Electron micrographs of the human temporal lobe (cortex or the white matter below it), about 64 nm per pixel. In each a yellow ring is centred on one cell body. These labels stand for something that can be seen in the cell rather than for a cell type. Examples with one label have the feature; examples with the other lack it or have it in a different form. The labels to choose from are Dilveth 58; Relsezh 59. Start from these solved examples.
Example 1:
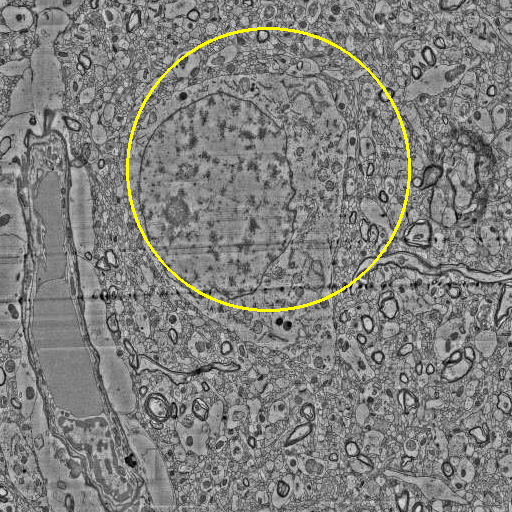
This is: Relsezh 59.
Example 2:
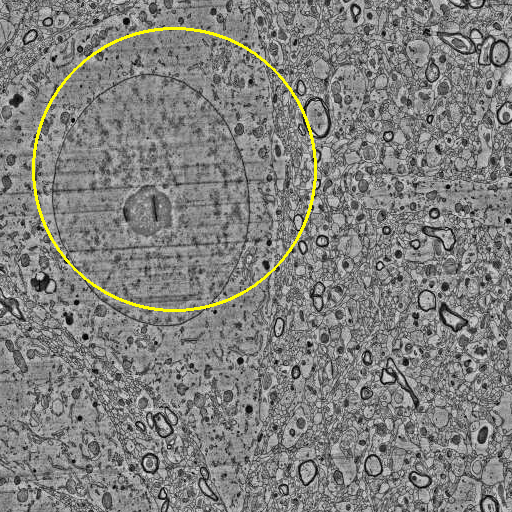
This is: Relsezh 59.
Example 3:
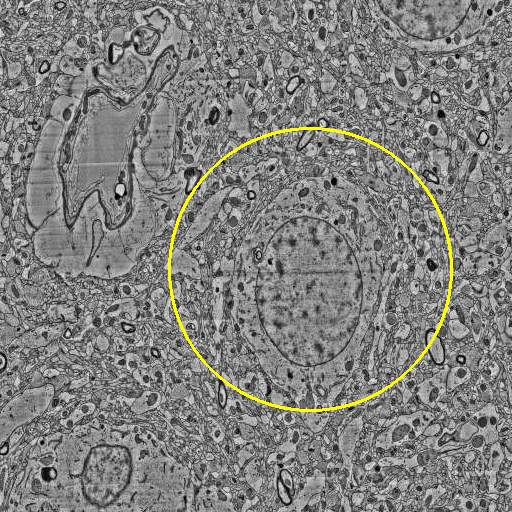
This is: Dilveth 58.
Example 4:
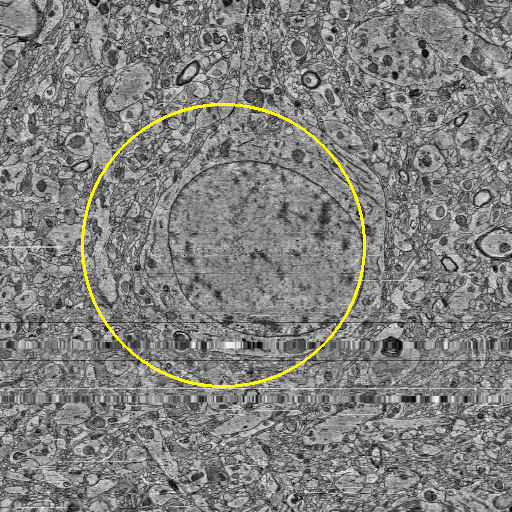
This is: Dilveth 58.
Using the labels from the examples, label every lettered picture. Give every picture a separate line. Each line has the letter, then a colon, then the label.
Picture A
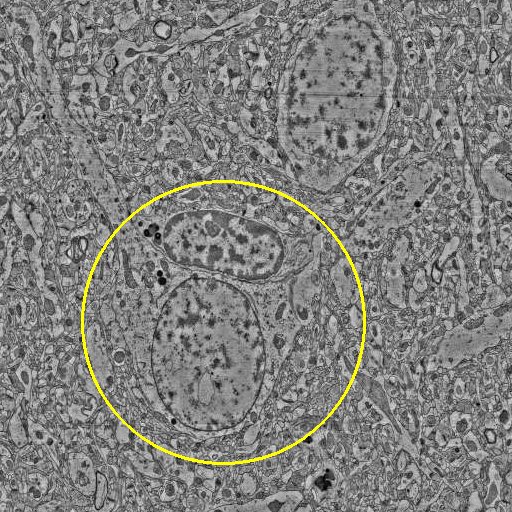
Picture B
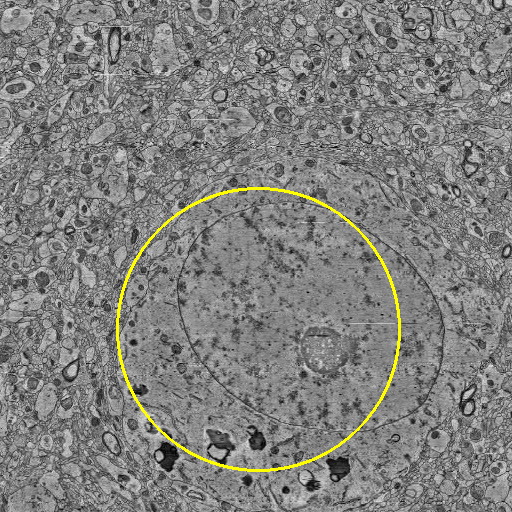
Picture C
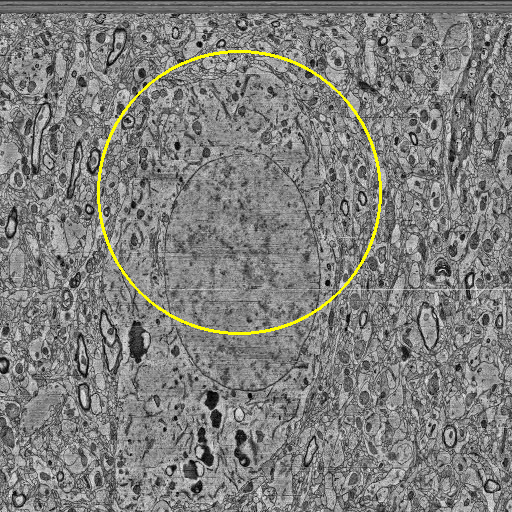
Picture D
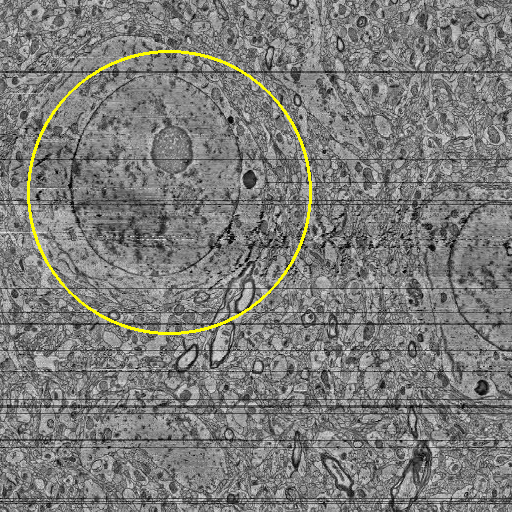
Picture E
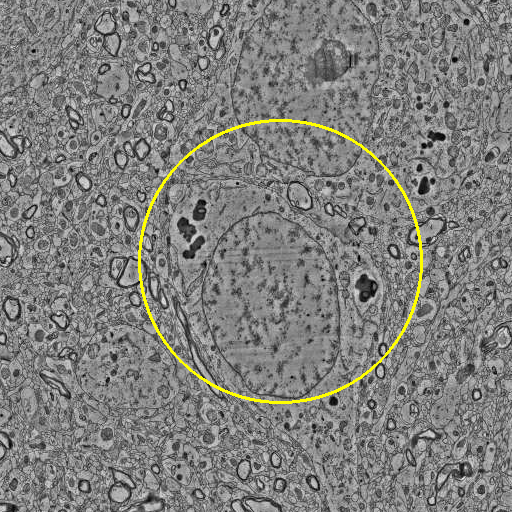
A: Dilveth 58.
B: Relsezh 59.
C: Dilveth 58.
D: Relsezh 59.
E: Dilveth 58.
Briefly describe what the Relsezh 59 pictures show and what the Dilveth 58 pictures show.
Relsezh 59: nucleolus seen; Dilveth 58: no nucleolus seen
